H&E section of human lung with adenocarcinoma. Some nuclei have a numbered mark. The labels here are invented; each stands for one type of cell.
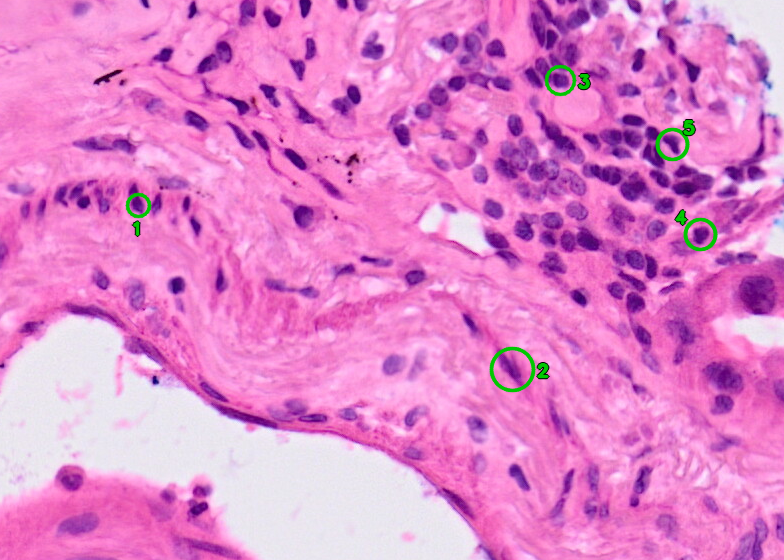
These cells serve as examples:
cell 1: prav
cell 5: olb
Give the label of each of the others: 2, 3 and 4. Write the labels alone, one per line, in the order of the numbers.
prav
olb
olb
